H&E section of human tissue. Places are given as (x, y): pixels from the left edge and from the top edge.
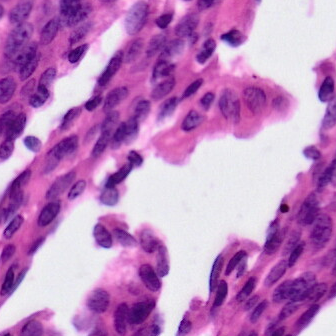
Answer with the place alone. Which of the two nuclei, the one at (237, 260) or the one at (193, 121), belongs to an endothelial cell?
(193, 121)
